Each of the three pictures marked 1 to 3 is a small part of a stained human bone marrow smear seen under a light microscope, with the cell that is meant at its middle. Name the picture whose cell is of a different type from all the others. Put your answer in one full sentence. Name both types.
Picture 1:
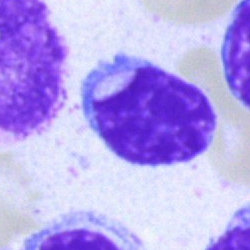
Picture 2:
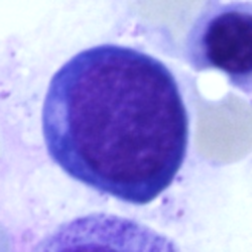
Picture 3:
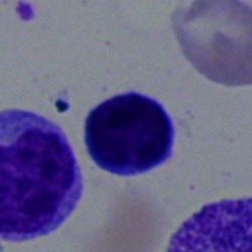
The others show lymphocytes, but picture 2 shows a proerythroblast.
